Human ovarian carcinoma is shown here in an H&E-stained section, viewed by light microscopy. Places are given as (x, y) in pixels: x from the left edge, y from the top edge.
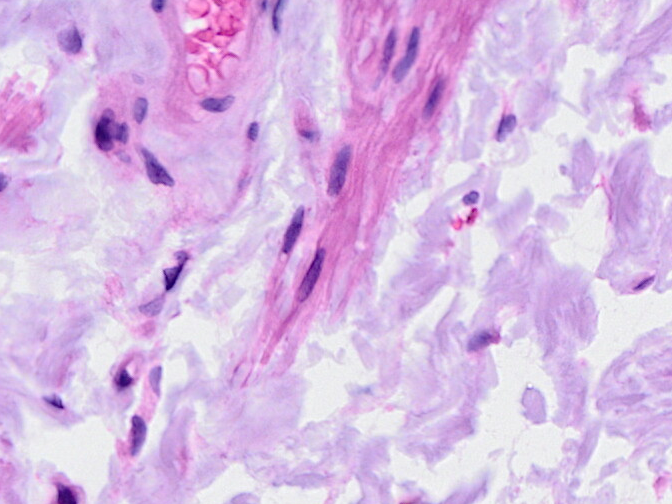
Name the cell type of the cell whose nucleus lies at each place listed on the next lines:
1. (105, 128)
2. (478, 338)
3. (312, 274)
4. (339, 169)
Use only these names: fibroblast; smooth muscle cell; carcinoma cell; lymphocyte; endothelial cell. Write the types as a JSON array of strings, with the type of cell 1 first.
["endothelial cell", "fibroblast", "smooth muscle cell", "smooth muscle cell"]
